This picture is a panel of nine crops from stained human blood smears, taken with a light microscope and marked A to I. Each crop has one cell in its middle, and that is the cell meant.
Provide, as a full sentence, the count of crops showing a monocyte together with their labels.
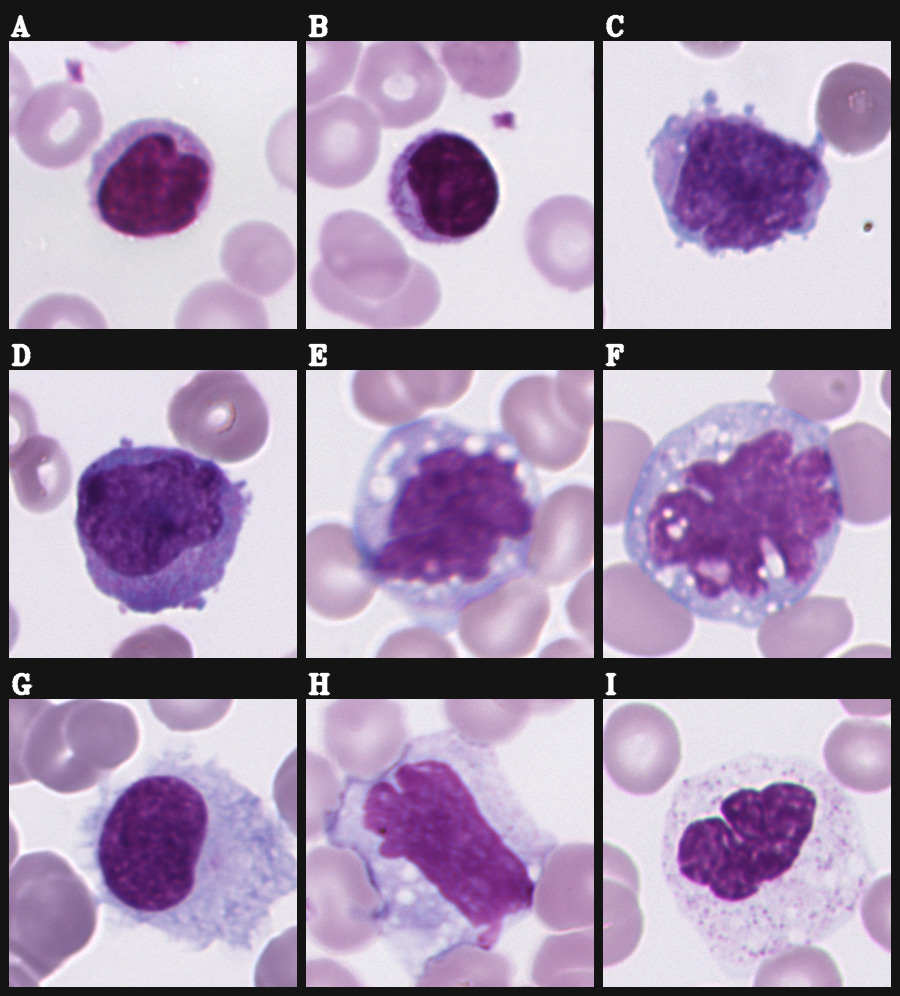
The number of crops showing monocytes is three, these being E, F and H.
